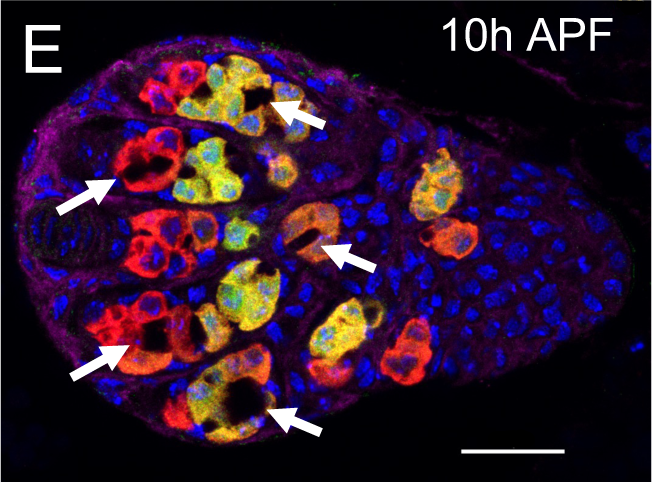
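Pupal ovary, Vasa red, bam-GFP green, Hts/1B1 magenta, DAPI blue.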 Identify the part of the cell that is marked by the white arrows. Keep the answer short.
Vacuoles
